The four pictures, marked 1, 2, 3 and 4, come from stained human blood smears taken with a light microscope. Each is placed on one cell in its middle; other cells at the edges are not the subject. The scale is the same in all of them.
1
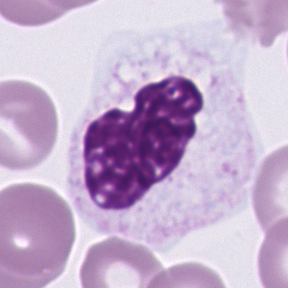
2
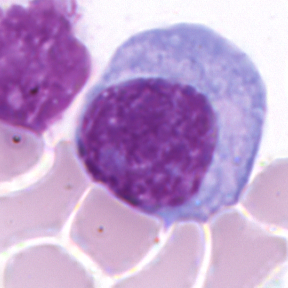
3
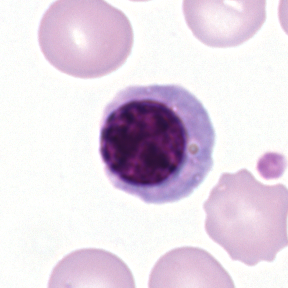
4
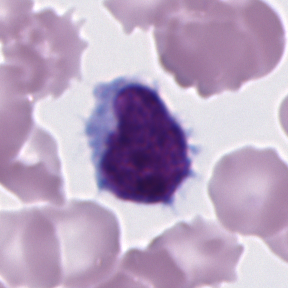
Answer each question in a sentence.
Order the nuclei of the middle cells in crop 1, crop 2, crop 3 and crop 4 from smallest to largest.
Going up, they run 3, 4, 1, 2.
